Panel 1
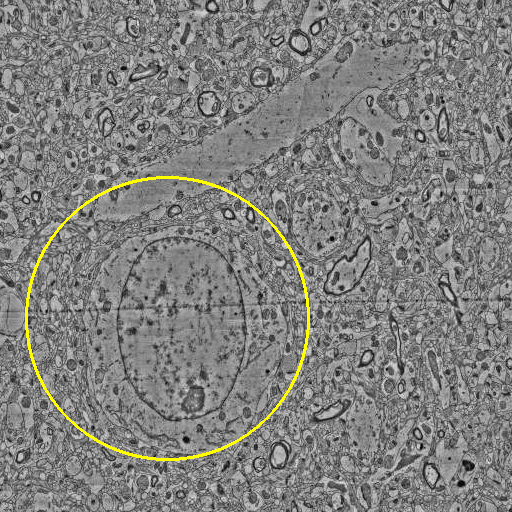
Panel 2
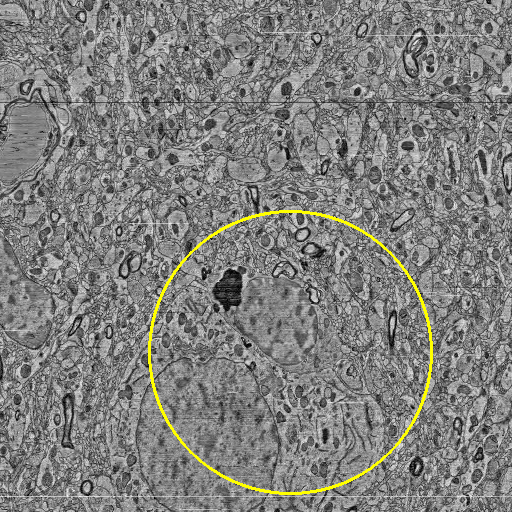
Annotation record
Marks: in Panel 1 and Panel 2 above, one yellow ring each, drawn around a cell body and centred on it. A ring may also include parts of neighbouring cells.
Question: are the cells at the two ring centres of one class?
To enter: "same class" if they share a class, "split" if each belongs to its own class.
split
